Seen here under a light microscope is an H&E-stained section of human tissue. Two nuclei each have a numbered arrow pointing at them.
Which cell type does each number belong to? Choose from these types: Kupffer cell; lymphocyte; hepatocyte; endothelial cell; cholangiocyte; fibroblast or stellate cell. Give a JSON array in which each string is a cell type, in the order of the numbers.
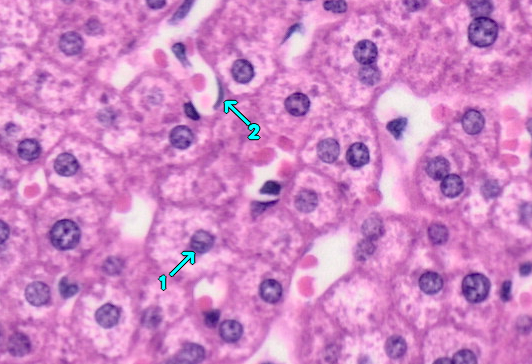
["hepatocyte", "endothelial cell"]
